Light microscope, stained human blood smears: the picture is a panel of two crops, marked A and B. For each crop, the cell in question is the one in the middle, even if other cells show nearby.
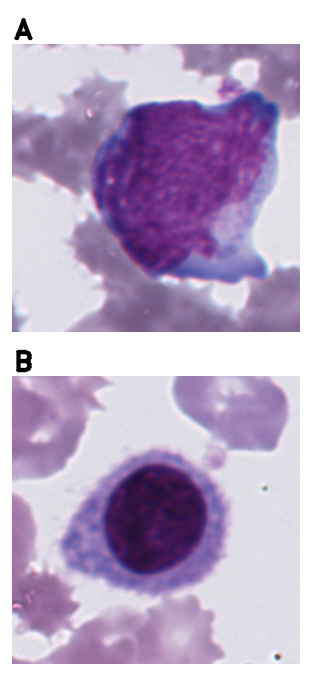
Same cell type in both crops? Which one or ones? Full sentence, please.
No, a myeloblast is centred in crop A, and a hairy cell is centred in crop B.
